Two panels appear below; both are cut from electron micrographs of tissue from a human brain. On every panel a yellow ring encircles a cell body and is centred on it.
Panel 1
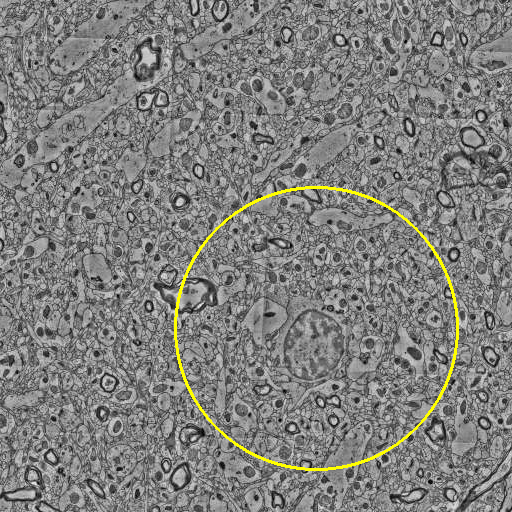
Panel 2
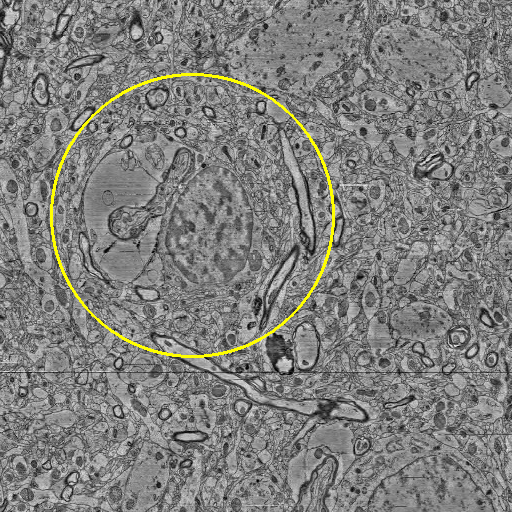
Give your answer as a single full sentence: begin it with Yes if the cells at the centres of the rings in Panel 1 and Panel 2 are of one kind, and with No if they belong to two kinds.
Yes, the cells in the middle of the rings in Panels 1 and 2 are of one kind.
